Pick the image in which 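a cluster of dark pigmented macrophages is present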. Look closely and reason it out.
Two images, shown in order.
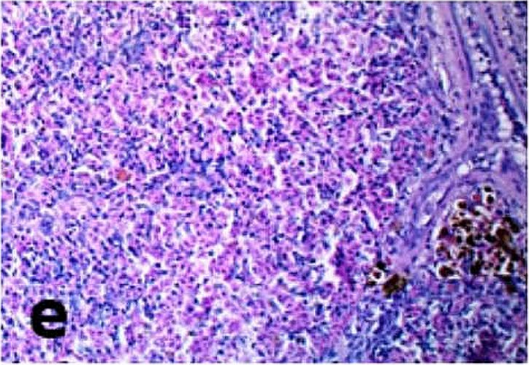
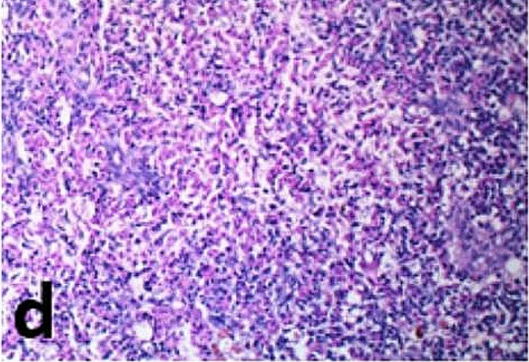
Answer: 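The first image. First image: a compact cluster of dark brown-black pigmented cells lies at the lower right beside a vessel.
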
